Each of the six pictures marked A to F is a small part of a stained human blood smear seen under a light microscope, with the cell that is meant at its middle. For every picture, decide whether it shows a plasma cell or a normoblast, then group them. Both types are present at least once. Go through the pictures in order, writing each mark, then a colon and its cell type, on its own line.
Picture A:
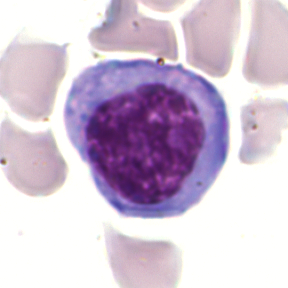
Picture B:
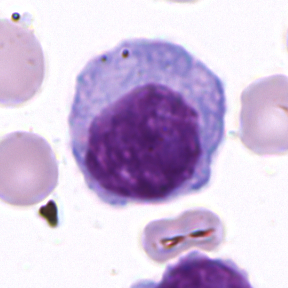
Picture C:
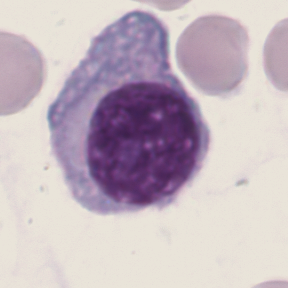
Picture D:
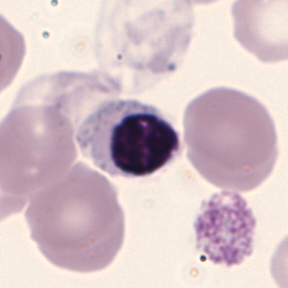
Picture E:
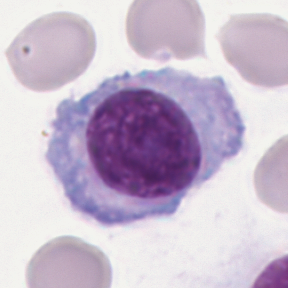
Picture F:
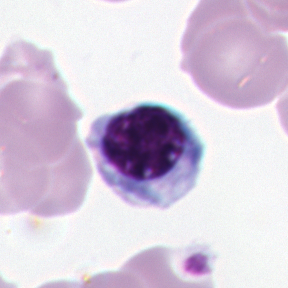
A: plasma cell
B: plasma cell
C: plasma cell
D: normoblast
E: plasma cell
F: normoblast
